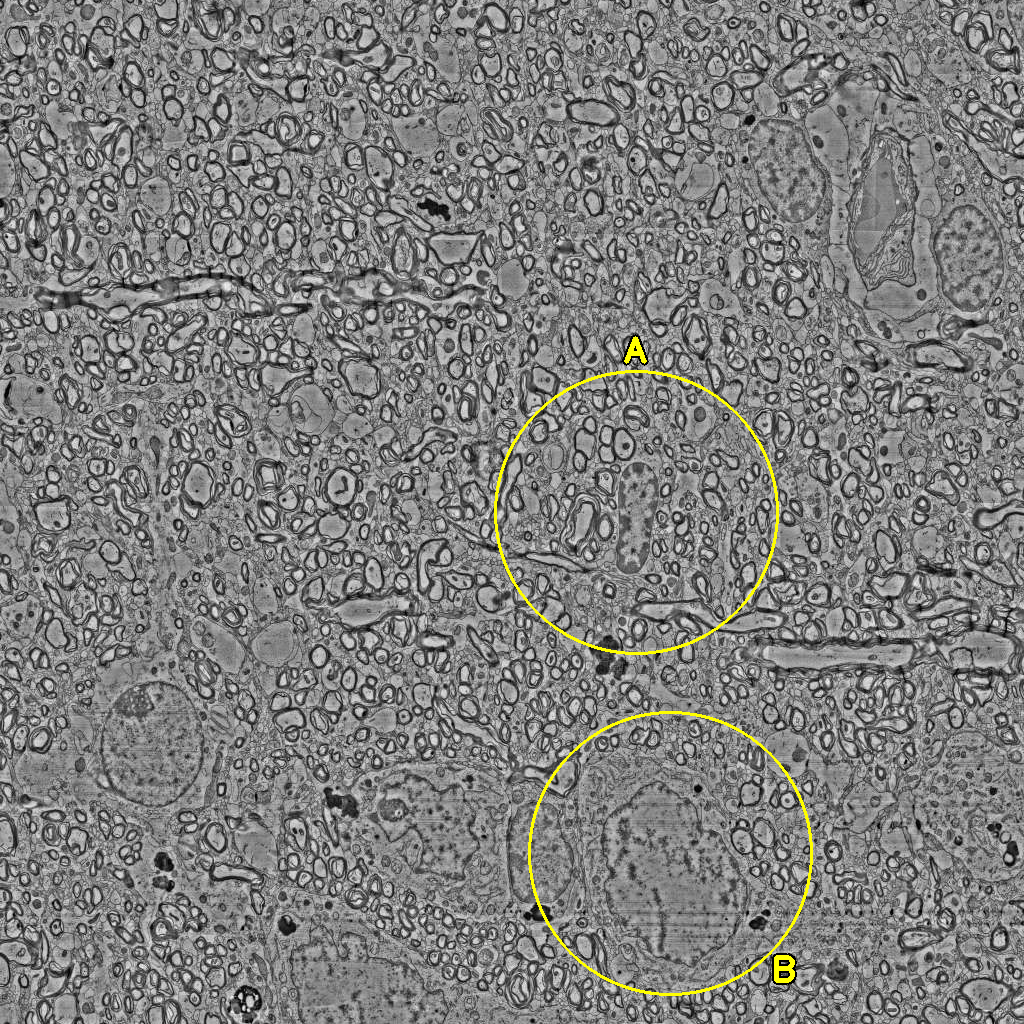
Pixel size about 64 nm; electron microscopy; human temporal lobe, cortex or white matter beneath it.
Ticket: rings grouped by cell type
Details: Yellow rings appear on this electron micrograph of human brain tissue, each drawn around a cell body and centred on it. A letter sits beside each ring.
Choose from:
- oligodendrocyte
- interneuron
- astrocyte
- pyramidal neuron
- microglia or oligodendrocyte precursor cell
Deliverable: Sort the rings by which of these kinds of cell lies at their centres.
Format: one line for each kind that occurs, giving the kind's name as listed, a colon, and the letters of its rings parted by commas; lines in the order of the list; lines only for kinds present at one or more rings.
interneuron: B
microglia or oligodendrocyte precursor cell: A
